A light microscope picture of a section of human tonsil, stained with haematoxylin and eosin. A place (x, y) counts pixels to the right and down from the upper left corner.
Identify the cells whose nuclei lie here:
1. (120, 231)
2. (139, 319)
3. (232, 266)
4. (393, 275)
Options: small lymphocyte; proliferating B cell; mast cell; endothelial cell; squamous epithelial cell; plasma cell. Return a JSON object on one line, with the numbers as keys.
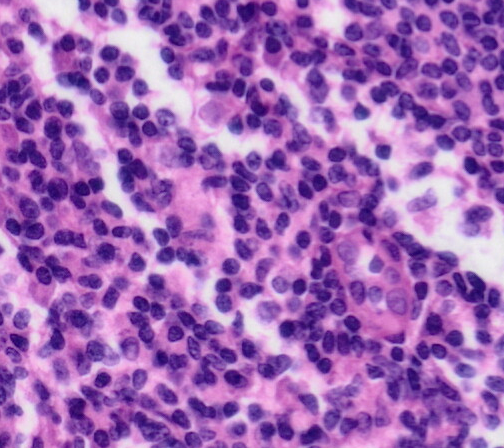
{"1": "small lymphocyte", "2": "small lymphocyte", "3": "small lymphocyte", "4": "endothelial cell"}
